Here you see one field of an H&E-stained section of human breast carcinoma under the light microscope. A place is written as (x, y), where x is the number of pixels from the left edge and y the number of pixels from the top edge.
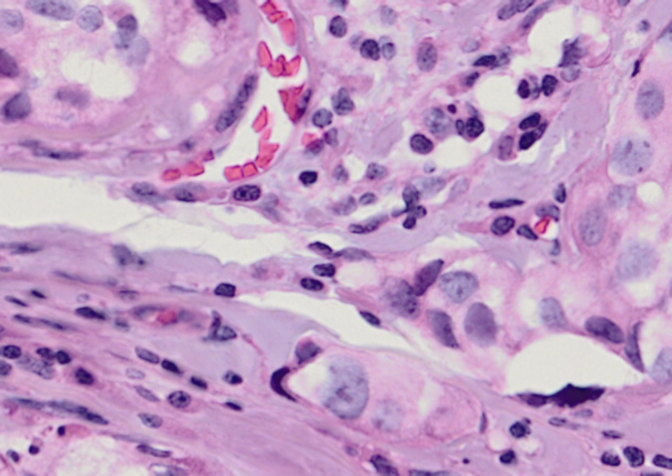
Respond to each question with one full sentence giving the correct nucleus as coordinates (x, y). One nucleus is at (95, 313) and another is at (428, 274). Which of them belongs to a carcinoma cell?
The one at (428, 274) is the nucleus belonging to a carcinoma cell, not the other one.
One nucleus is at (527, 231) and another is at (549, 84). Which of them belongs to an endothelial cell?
As for which of the two, the nucleus at (527, 231) belongs to an endothelial cell.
